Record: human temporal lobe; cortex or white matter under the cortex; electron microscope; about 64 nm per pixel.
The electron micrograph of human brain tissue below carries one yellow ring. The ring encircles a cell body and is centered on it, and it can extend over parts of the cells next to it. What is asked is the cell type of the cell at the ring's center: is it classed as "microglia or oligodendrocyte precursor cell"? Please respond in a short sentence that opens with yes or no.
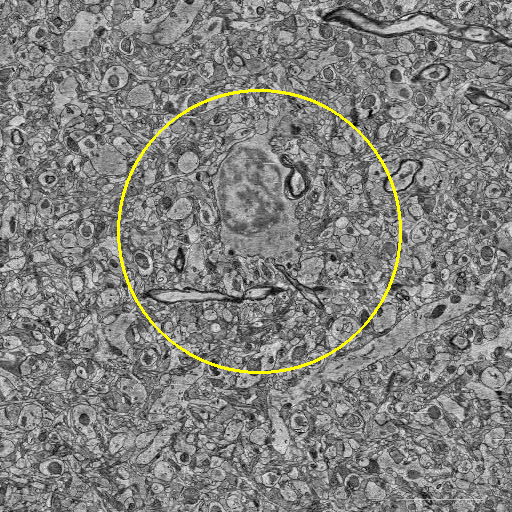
No, it is classed otherwise.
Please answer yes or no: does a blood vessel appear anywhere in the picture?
No, no vessel appears in the picture.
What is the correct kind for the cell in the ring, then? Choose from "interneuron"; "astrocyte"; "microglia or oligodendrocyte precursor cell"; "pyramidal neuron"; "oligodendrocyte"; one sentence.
Instead, the picture shows an oligodendrocyte at the centre of the ring.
